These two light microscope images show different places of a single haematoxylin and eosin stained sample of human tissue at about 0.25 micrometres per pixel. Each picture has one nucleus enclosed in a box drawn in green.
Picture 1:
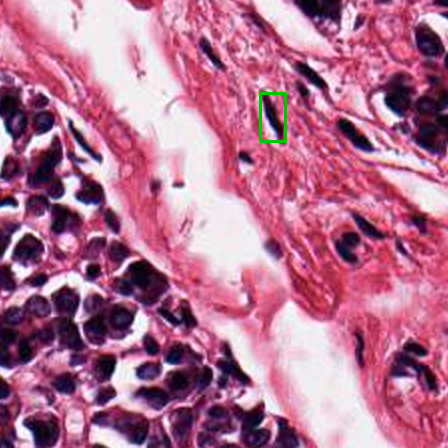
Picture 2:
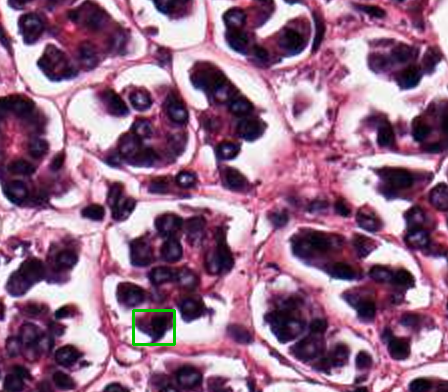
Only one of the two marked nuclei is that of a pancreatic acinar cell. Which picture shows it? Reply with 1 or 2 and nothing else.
2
